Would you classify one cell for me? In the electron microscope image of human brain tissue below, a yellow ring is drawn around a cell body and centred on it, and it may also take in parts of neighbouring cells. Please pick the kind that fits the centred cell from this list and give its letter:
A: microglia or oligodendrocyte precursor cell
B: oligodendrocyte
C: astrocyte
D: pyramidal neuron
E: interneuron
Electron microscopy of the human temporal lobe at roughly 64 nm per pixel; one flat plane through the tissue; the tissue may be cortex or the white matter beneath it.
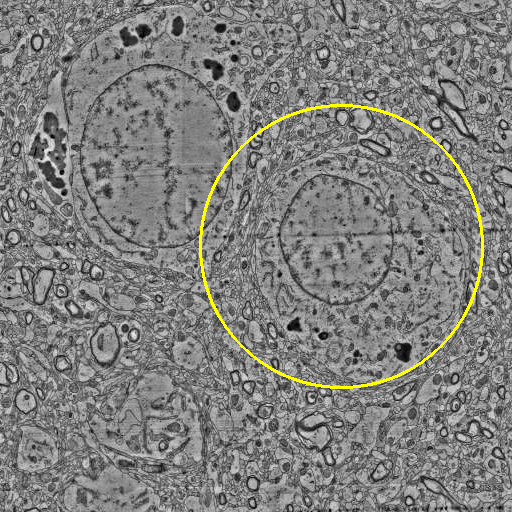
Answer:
D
